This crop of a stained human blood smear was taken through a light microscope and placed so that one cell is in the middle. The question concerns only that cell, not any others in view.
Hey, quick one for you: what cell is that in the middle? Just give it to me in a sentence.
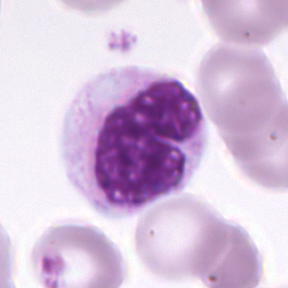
The cell nearest the centre of this crop is a band neutrophil.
